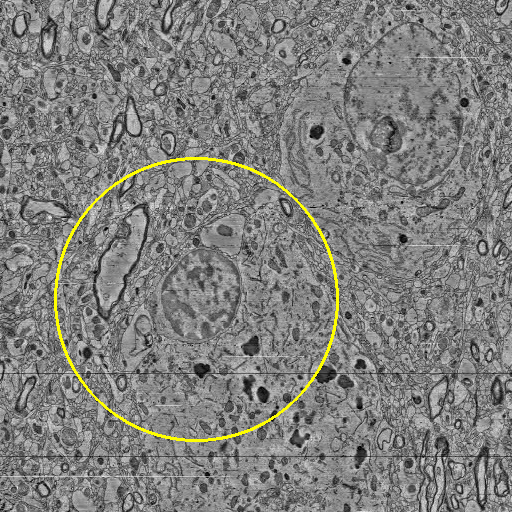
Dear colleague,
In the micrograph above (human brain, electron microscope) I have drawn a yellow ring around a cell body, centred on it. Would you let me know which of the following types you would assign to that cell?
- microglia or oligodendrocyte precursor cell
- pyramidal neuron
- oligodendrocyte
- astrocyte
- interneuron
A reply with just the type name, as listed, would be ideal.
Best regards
oligodendrocyte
